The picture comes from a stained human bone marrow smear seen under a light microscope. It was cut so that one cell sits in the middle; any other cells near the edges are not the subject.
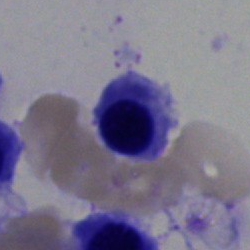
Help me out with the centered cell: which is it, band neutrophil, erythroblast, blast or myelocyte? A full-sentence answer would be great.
The crop shows an erythroblast in its centre.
